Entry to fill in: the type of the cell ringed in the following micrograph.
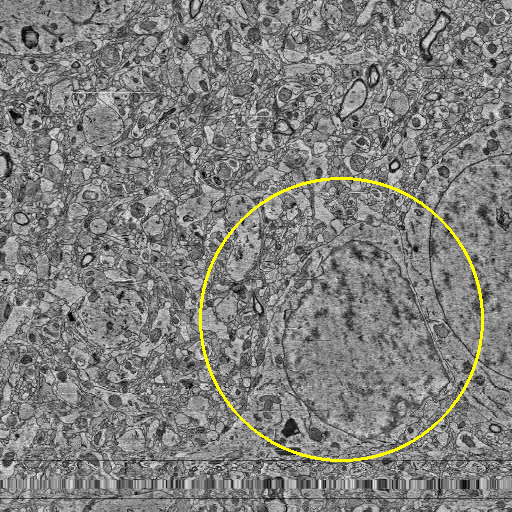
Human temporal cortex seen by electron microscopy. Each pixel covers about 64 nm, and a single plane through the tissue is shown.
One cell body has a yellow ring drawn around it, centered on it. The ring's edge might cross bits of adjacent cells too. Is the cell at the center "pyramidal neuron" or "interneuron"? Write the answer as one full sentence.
This entry names an interneuron as the cell whose body lies at the ring's center.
